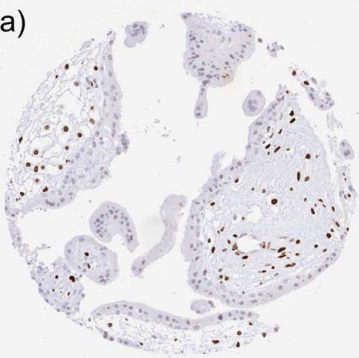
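This is placental tissue with chorionic villi cut in various planes, their cores made of loose stroma. Within the villous stroma, scattered spindle and oval nuclei of stroma cells are stained dark brown. The villi are covered by an epithelial layer whose nuclei are blue and unstained. Small villous branches float free in the intervillous space, and small vessels are seen within the larger villous cores.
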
